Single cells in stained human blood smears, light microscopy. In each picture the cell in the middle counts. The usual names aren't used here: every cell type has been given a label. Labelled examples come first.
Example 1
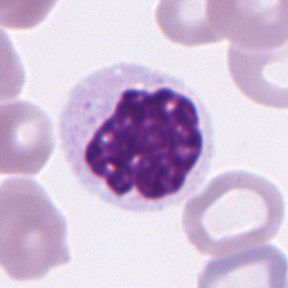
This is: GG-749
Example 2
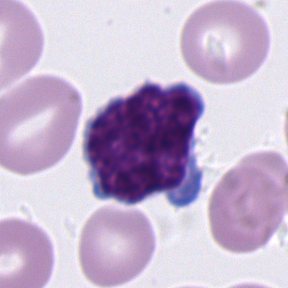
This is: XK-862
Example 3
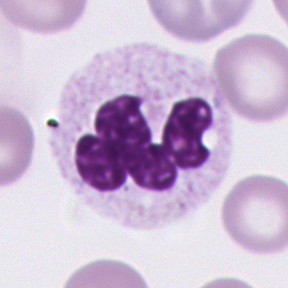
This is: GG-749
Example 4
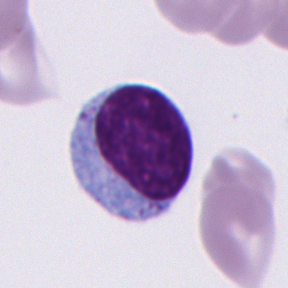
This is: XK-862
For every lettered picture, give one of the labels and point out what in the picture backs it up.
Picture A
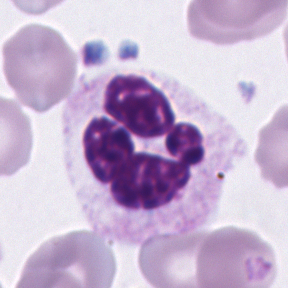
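GG-749: The cytoplasm is plentiful and pale lilac-pink.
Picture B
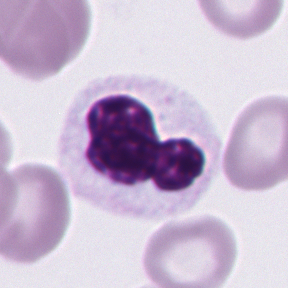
GG-749: The nucleus has two lobes.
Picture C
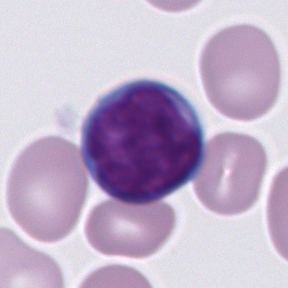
XK-862: The cytoplasm forms only a thin rim at the edge of the nucleus.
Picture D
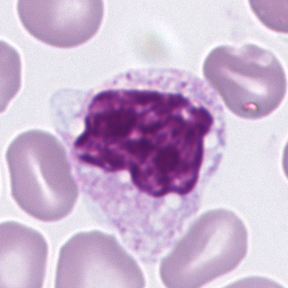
GG-749: The cytoplasm is abundant and pale grey-lilac.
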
